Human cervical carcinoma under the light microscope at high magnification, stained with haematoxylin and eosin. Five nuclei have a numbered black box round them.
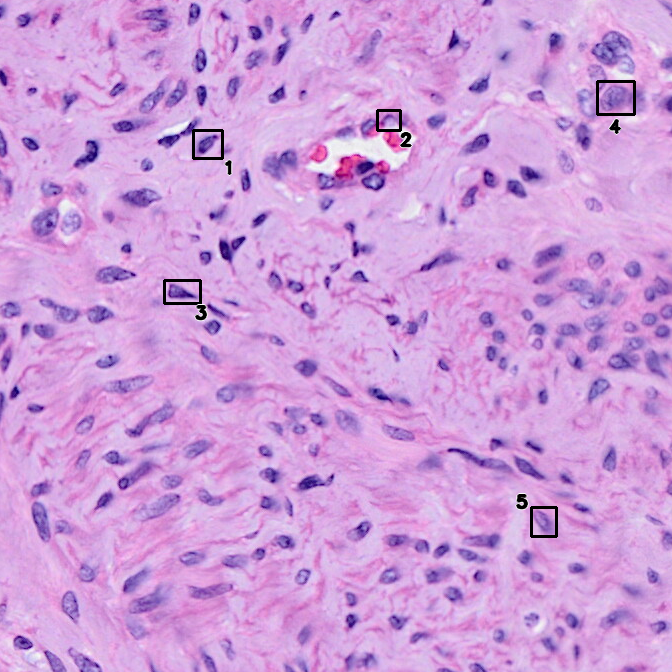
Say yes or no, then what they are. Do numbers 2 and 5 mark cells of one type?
No, cell 2 is an endothelial cell, whereas cell 5, for its part, is a smooth muscle cell.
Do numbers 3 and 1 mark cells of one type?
Yes, sure, cells 3 and 1 are both fibroblasts.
